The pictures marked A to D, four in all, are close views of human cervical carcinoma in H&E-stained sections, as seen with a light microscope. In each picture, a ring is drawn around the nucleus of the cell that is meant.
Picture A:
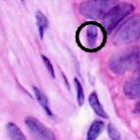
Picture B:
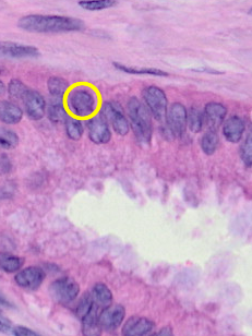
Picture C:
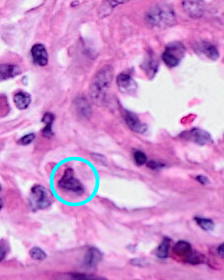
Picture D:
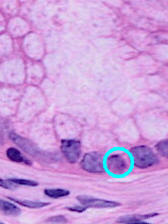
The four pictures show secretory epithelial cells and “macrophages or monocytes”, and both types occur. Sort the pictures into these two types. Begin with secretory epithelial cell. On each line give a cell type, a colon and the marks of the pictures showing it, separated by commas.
secretory epithelial cell: A, B, D
macrophage or monocyte: C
